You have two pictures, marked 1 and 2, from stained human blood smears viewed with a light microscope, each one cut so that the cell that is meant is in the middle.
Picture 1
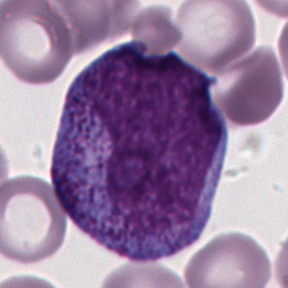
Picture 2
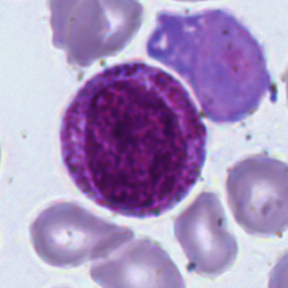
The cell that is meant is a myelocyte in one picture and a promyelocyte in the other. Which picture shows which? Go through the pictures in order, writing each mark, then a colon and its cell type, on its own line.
1: promyelocyte
2: myelocyte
